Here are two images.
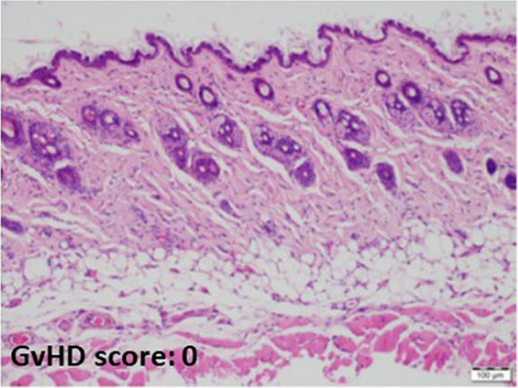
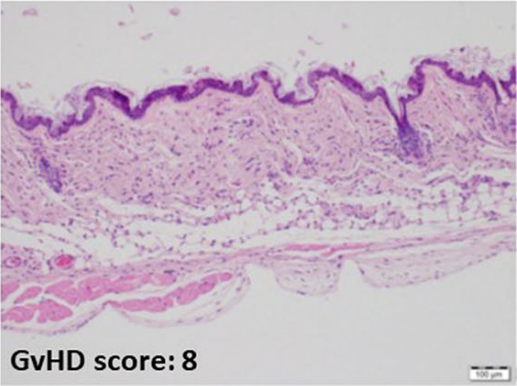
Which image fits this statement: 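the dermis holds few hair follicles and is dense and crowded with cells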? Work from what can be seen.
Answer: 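Second image: only one or two hair follicles; the dermis is crowded with small nuclei in dense pink matrix. First image: many hair follicles with glands fill the dermis, and the fibrous tissue between them holds fewer nuclei. On this evidence: the second image.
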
